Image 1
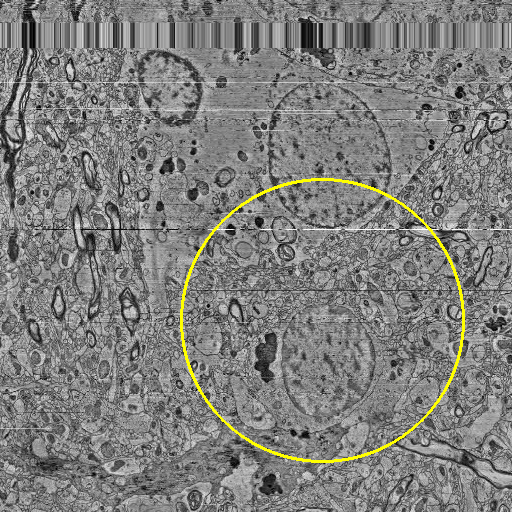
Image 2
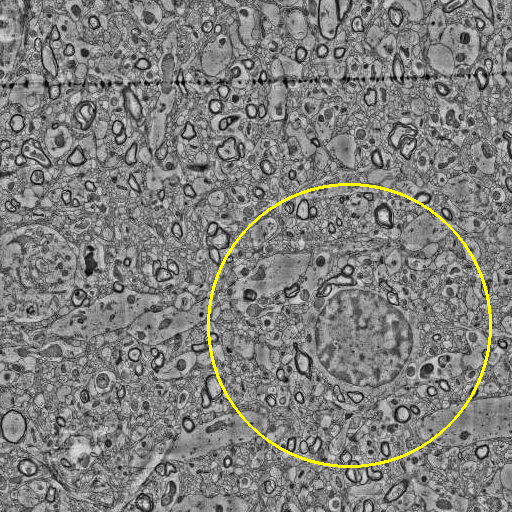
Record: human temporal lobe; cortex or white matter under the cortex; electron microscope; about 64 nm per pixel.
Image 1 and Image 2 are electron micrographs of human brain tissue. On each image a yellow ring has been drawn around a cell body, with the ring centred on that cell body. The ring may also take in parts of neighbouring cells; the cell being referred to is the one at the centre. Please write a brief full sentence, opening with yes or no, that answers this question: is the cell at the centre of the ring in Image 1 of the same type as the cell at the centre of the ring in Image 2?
Yes, both cells are of the same type.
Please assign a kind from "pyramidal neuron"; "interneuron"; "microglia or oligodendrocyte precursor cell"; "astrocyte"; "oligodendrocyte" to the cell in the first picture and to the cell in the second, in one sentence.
In each of the two pictures, the ringed cell is an oligodendrocyte.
